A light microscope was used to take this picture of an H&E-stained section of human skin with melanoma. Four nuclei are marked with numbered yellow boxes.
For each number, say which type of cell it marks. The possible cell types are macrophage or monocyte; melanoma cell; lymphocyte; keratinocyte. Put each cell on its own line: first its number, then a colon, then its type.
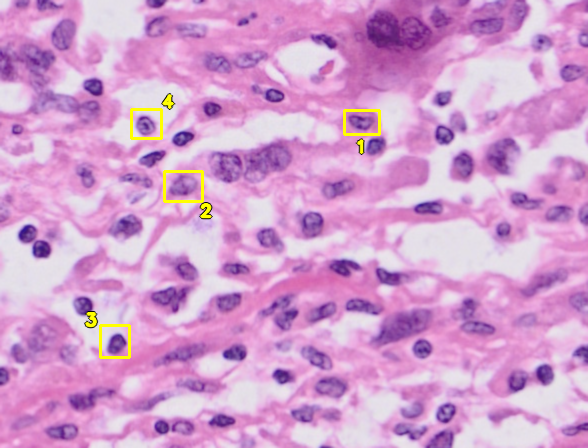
1: macrophage or monocyte
2: macrophage or monocyte
3: lymphocyte
4: lymphocyte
